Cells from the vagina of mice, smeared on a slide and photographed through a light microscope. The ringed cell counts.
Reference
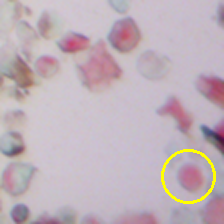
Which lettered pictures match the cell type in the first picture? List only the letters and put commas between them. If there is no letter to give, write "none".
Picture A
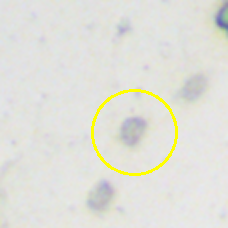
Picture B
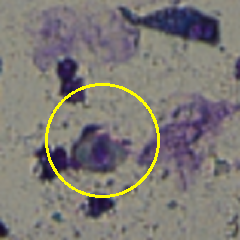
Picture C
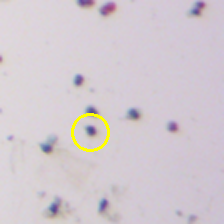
B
